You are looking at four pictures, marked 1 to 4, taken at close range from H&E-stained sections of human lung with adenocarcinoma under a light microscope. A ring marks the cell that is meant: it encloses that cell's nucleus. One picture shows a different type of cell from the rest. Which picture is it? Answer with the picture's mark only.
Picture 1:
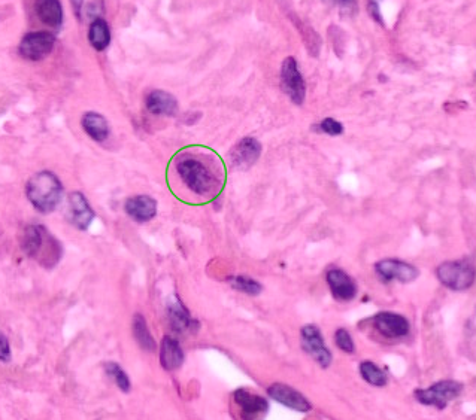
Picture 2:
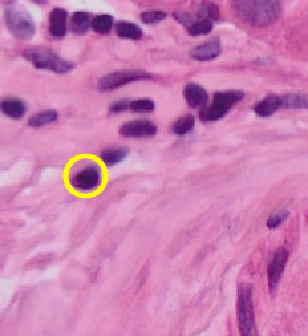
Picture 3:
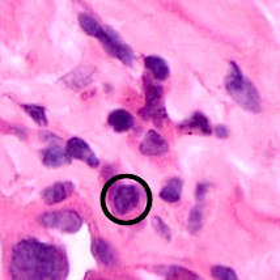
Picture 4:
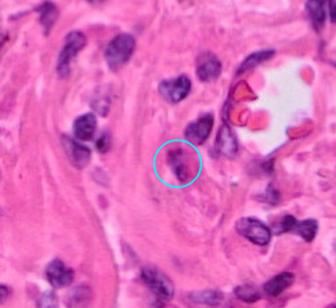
2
